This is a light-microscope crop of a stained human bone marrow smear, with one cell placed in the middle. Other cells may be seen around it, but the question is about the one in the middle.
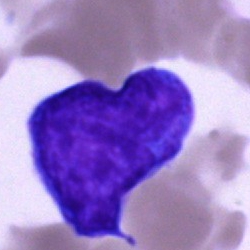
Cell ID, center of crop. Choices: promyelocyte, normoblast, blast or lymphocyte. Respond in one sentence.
What the crop centres on is a blast.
